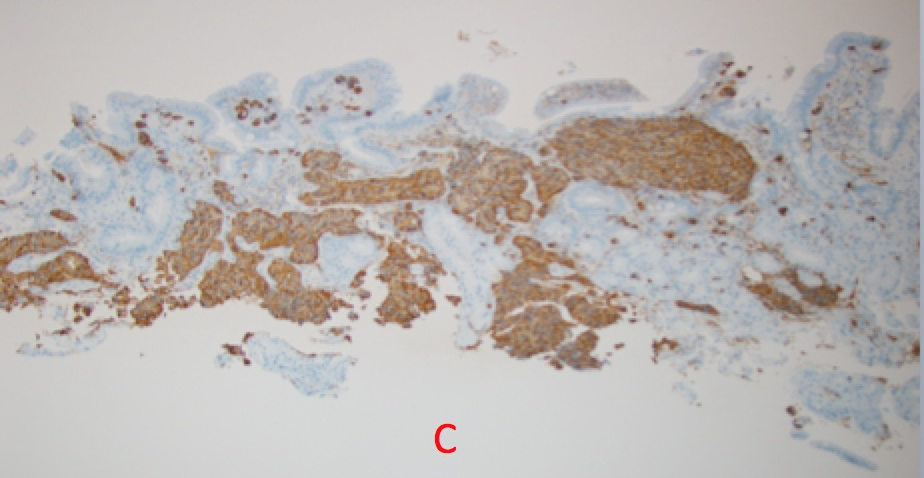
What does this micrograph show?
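This is a strip of mucosa. Along its upper edge runs a folded surface of glands and pits lined by a single layer of columnar epithelium, and these lining cells stay pale blue. Beneath them, the stroma is crowded by solid nests, cords and irregular sheets of cells whose cytoplasm takes up a dense brown stain. One large rounded nest lies just under the surface. Scattered single brown cells sit between the glands. So the stained cell population is infiltrating the stroma, not the overlying glandular epithelium.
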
